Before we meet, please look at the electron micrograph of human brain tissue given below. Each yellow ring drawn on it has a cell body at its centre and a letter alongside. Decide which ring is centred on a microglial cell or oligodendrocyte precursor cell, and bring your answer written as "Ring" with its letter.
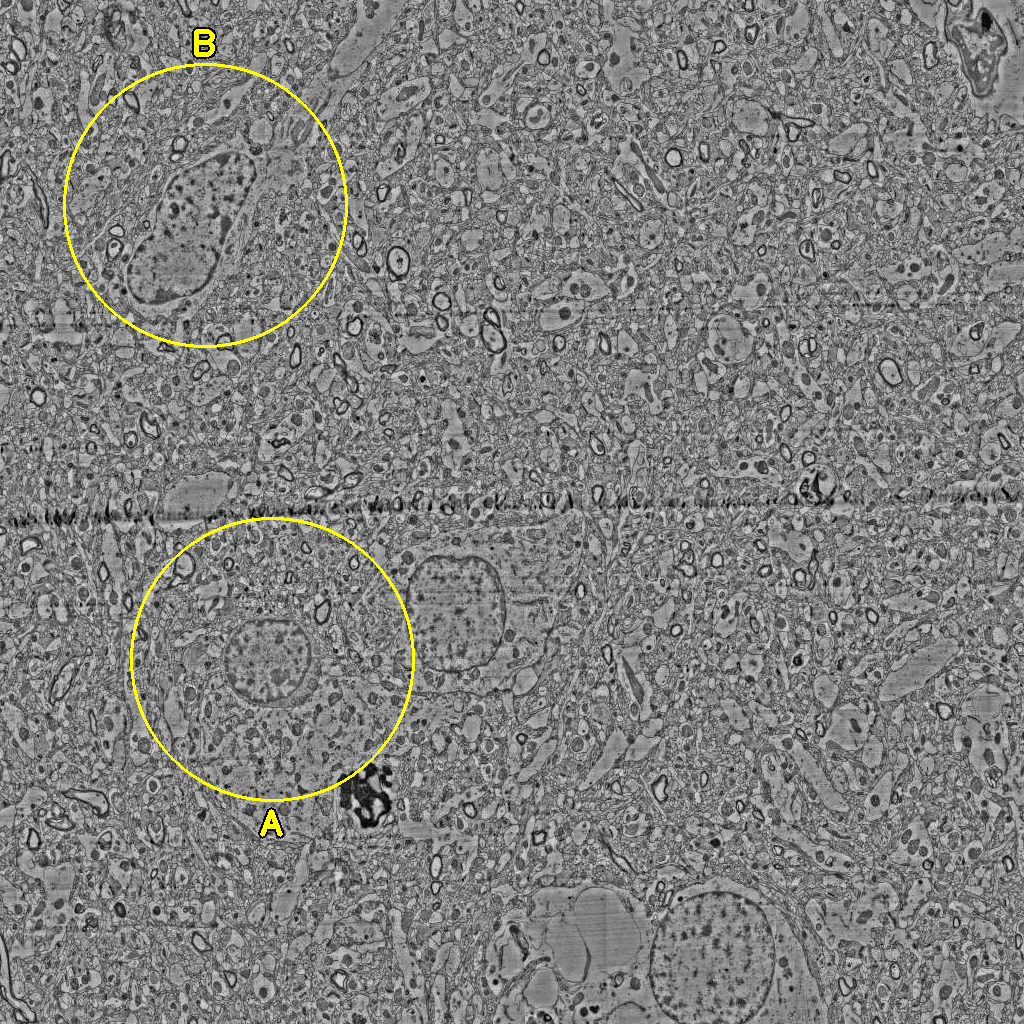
Ring B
